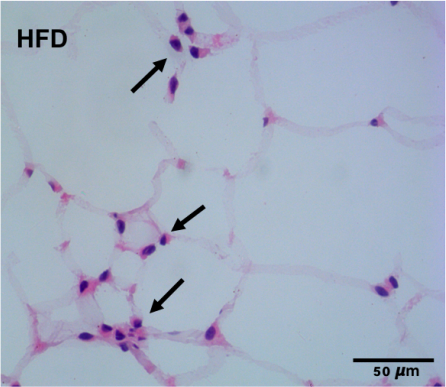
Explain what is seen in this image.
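This is white adipose tissue made of large adipocytes whose contents appear as empty, rounded to polygonal spaces separated by thin pink cell rims. Between the adipocytes, especially where several meet, lie clusters of small cells with round to oval dark purple nuclei and a little pink cytoplasm, a mononuclear cell infiltrate. Other nuclei sit singly and flattened against the adipocyte rims.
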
